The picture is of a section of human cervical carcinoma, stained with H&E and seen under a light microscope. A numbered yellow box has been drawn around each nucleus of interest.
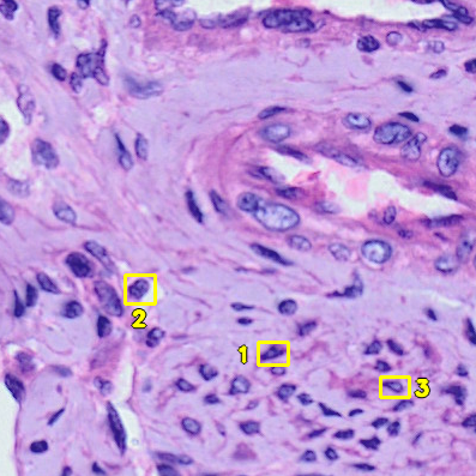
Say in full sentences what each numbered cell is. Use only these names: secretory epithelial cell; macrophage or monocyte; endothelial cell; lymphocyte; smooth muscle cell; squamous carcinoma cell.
Cells 1 and 3 are smooth muscle cells. Cell 2 is a lymphocyte.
